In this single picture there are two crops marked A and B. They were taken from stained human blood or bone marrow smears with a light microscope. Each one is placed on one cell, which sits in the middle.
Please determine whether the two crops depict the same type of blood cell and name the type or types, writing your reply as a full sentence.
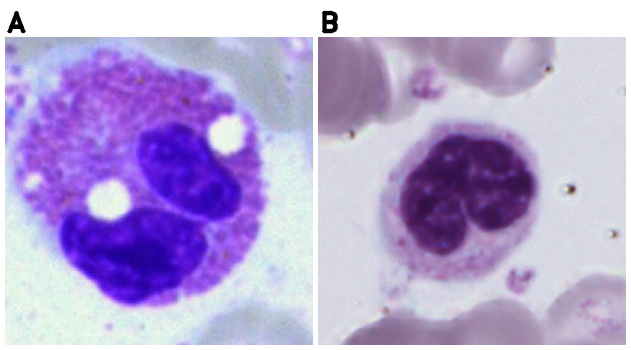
No, crop A captures an eosinophil; meanwhile crop B captures a band neutrophil.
